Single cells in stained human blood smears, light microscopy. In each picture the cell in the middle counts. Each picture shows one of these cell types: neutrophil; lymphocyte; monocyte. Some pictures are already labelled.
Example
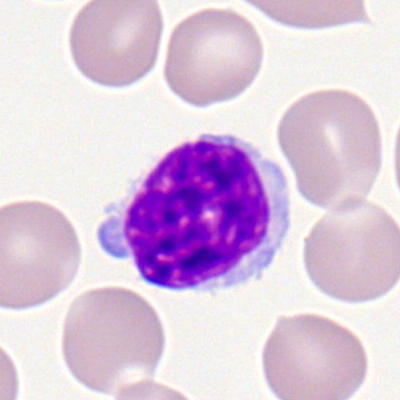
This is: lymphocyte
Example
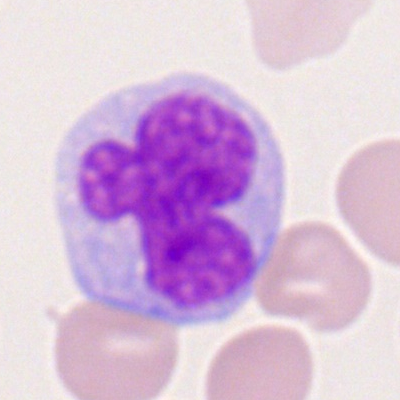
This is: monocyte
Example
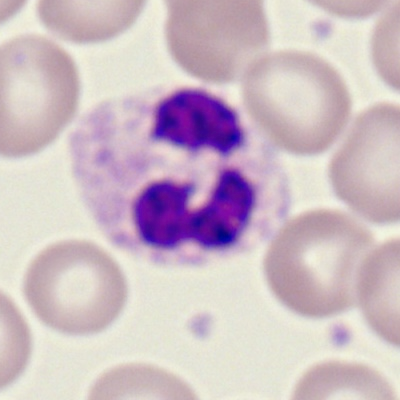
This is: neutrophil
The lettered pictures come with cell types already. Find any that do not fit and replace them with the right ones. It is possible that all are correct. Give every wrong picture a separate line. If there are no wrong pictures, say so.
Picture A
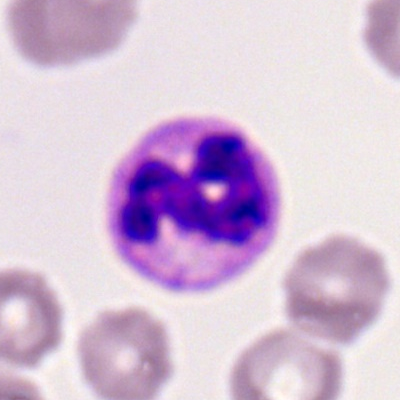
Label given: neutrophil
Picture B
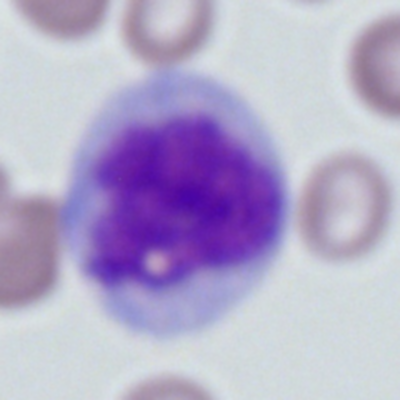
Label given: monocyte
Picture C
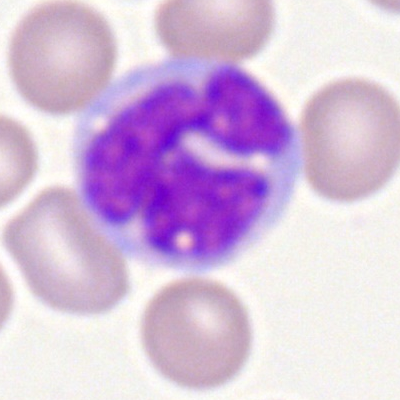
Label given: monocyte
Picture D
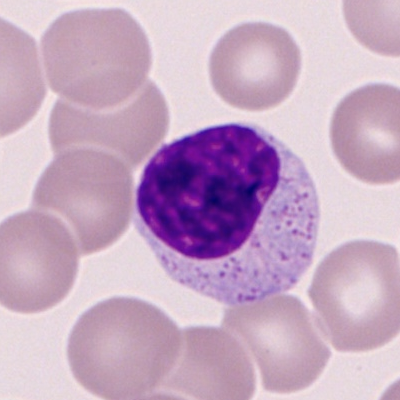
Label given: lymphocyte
Nothing to fix; every label fits.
